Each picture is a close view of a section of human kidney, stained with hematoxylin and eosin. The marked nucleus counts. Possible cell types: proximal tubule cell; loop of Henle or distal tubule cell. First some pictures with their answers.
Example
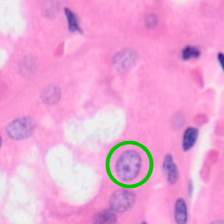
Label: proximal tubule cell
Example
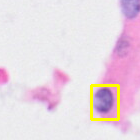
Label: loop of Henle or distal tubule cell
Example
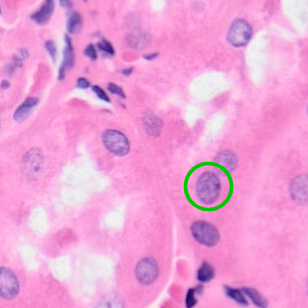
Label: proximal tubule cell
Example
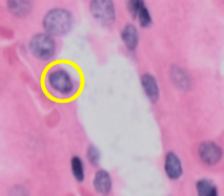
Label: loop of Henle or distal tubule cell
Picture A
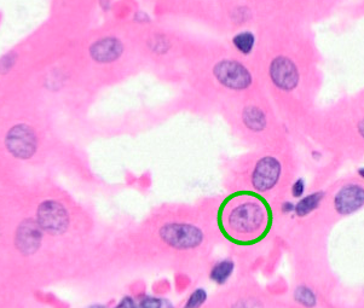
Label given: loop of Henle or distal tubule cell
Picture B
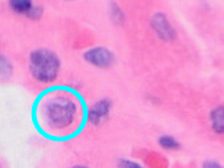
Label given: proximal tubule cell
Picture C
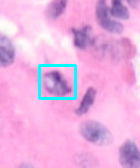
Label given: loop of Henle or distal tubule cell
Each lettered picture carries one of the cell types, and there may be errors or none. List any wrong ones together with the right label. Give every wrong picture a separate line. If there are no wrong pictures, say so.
A: change loop of Henle or distal tubule cell to proximal tubule cell
B: change proximal tubule cell to loop of Henle or distal tubule cell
